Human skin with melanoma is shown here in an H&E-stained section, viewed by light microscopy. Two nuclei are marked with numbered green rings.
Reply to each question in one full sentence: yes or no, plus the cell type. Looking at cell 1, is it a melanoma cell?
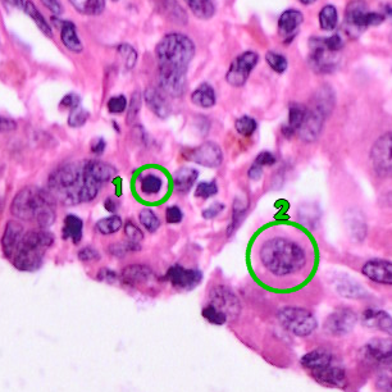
No, number 1 identifies a lymphocyte, not a melanoma cell.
